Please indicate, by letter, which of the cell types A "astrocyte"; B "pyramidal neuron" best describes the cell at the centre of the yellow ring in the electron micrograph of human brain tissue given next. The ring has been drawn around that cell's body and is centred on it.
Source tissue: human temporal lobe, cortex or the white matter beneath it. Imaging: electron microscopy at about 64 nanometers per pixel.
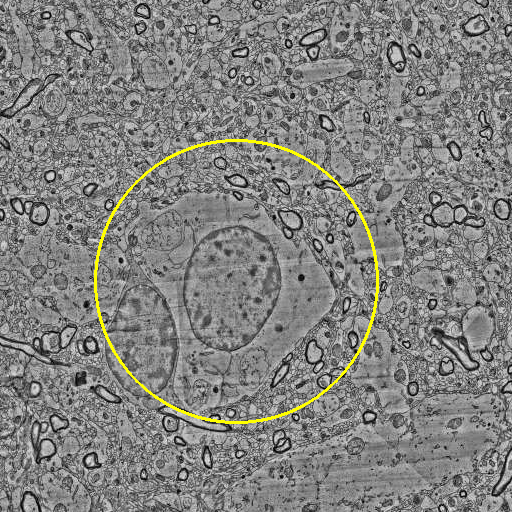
A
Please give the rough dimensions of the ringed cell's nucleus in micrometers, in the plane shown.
Roughly 8 by 6 micrometres is the size of the nucleus in this plane.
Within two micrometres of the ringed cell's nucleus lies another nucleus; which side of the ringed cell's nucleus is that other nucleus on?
The other nucleus sits to the lower left of it.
